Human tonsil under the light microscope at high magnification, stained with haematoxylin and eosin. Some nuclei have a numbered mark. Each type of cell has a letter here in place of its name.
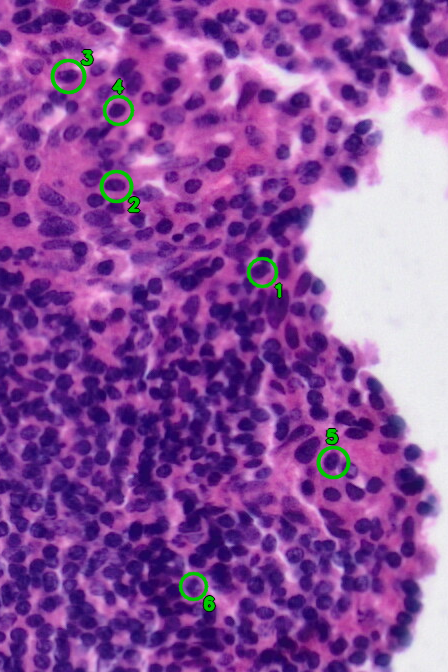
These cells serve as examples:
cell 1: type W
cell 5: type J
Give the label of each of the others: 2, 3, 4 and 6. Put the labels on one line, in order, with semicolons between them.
type J; type J; type J; type W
